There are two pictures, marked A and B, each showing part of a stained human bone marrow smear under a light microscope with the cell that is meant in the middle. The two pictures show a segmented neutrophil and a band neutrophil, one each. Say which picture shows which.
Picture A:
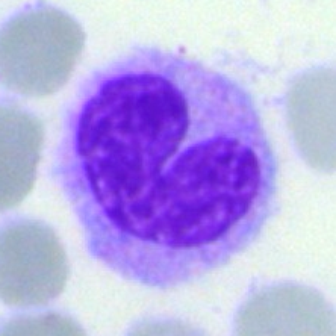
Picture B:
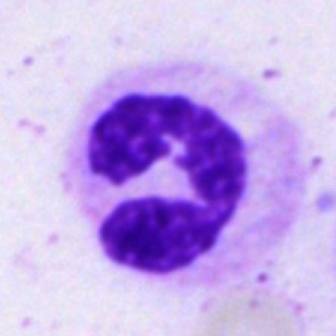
A: band neutrophil
B: segmented neutrophil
